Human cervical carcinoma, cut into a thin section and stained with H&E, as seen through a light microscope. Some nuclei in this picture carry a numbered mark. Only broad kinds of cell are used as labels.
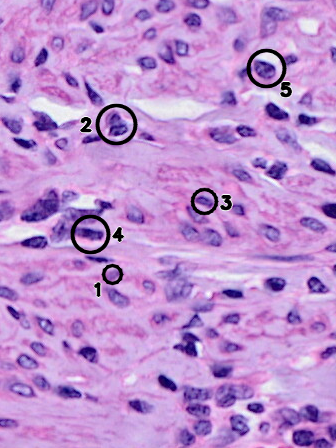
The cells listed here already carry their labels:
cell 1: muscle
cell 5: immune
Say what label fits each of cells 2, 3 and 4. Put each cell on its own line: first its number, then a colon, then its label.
2: immune
3: muscle
4: immune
